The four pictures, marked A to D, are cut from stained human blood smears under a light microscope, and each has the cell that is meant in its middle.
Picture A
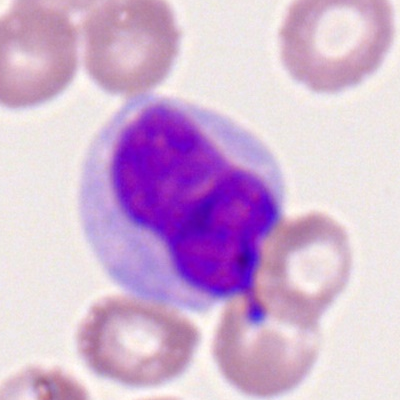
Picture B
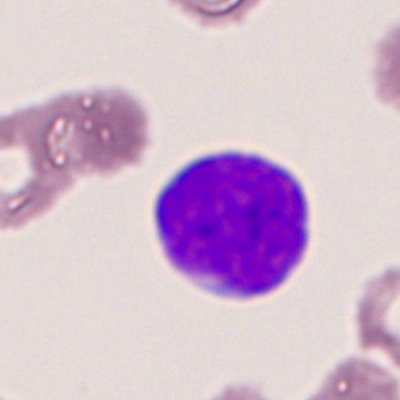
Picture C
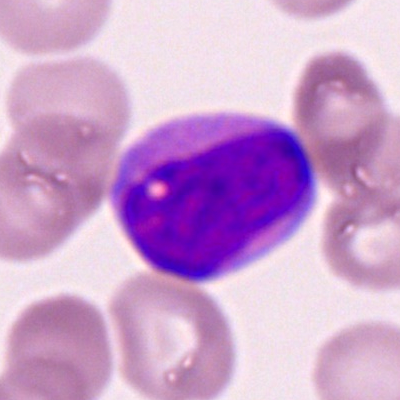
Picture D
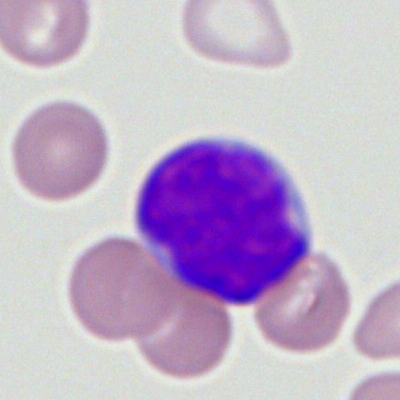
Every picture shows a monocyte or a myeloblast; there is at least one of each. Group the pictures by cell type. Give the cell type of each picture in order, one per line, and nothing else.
monocyte
myeloblast
myeloblast
myeloblast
